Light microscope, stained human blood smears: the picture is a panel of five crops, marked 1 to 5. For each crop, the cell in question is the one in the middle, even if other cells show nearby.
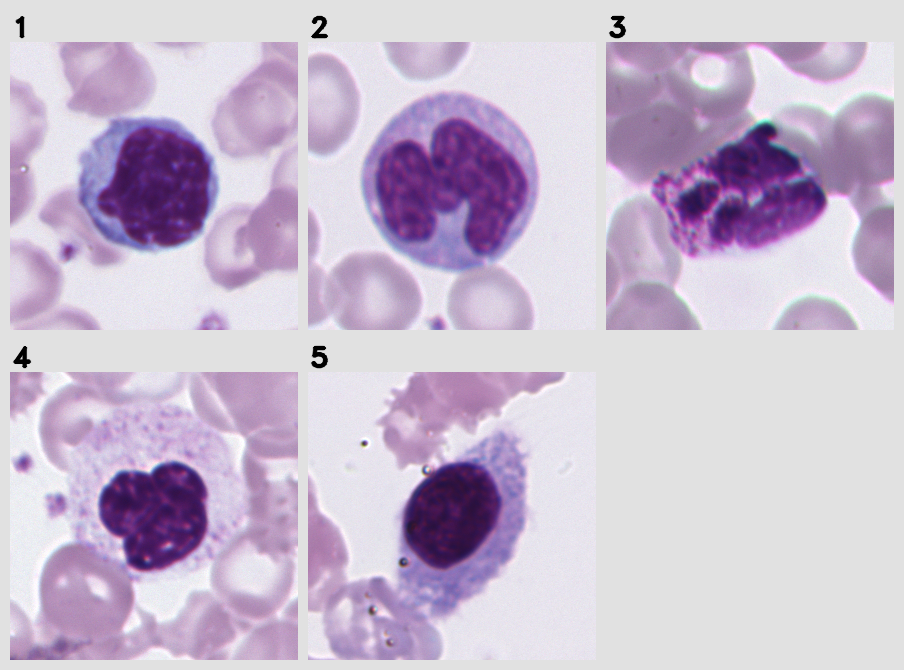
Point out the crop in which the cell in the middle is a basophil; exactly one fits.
3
